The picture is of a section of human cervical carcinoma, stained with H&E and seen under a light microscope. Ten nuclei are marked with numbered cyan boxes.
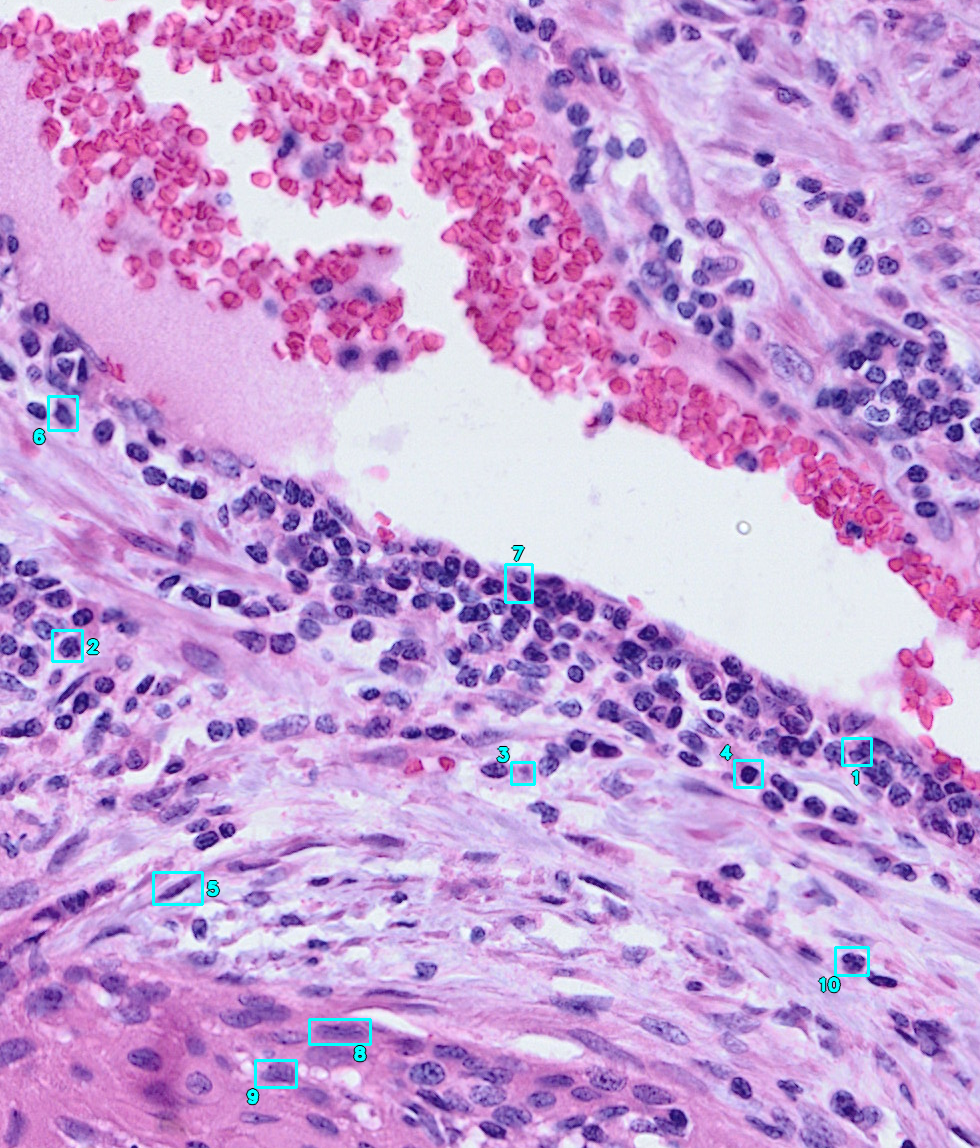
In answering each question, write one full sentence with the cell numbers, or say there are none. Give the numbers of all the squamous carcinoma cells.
Cells numbered 8 and 9 belong to the group of squamous carcinoma cells.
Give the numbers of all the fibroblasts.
Of all the cells bearing numbers, cell 5 is the only one that is a fibroblast.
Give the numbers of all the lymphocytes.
The cells which carry the numbers 1, 2, 4, 6, 7 and 10 are lymphocytes.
